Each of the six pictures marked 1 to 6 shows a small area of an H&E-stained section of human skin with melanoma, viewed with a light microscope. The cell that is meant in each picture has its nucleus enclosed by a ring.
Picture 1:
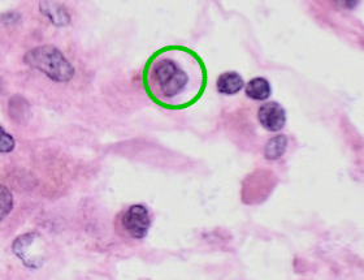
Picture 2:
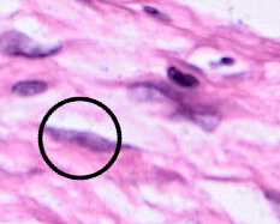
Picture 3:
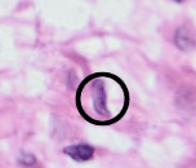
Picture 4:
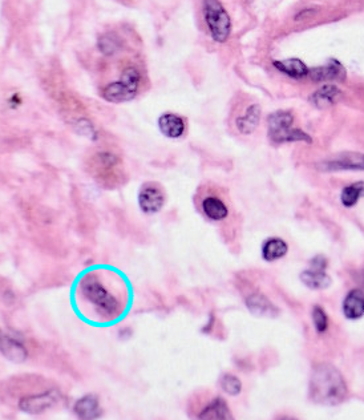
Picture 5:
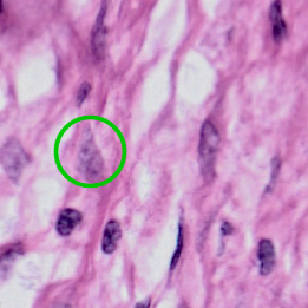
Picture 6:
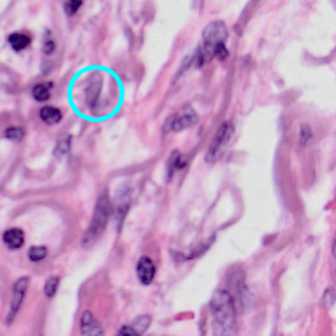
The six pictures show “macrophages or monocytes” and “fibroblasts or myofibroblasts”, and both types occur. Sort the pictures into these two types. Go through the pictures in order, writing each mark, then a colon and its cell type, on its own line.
1: macrophage or monocyte
2: fibroblast or myofibroblast
3: fibroblast or myofibroblast
4: macrophage or monocyte
5: fibroblast or myofibroblast
6: fibroblast or myofibroblast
